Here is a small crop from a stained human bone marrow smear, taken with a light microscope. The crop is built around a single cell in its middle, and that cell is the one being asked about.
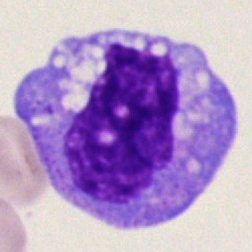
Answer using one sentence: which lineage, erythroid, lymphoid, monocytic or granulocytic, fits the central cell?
The cell at the center of this crop is categorized as monocytic in lineage.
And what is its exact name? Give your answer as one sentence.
The cell in the middle of the field of view is a monocyte.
